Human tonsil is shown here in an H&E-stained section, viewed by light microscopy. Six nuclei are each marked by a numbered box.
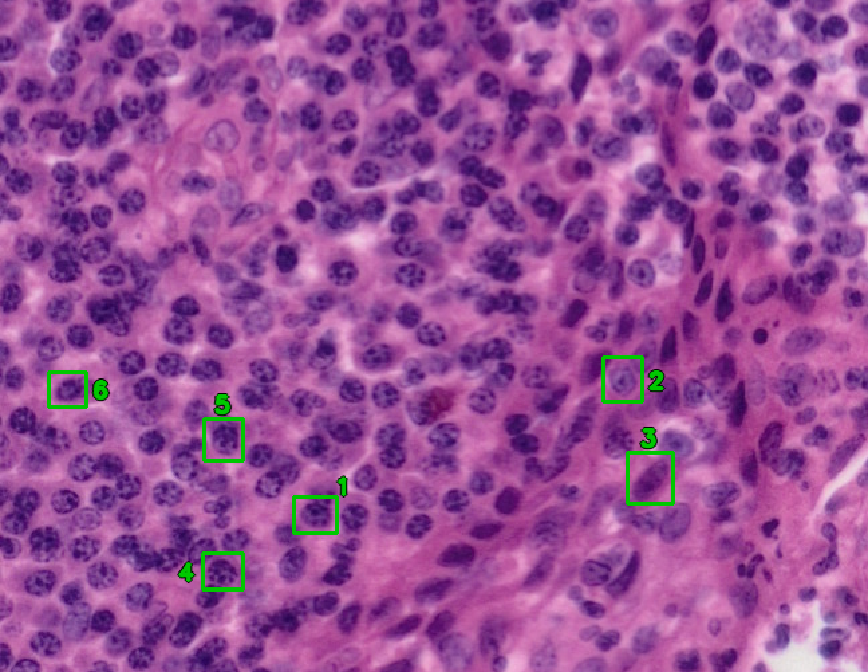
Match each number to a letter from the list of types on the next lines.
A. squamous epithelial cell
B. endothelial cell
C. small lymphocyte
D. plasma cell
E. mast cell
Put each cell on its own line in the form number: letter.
1: D
2: A
3: A
4: D
5: D
6: D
